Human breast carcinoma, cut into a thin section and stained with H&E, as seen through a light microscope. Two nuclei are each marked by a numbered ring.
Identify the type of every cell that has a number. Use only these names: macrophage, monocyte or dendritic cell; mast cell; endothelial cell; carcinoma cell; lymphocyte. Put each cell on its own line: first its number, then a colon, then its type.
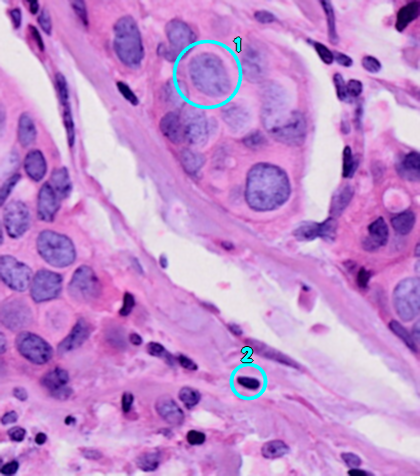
1: carcinoma cell
2: lymphocyte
